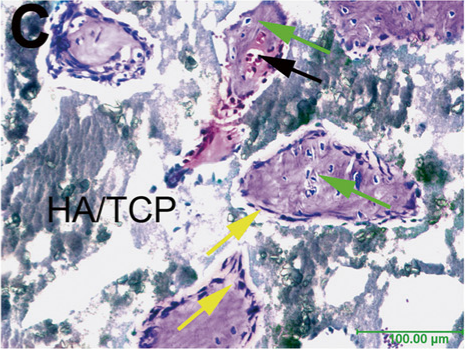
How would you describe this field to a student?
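Several islands of bone lie within pale grey-green porous scaffold material, their matrix stained pink to purple. Cells with dark nuclei are embedded singly in small spaces within the matrix, while flattened cells line the outer surfaces of the islands. A small channel is visible within one of the islands.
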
